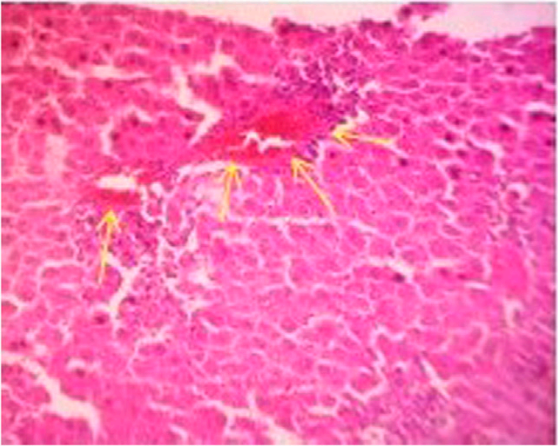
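This liver section shows hepatocytes in irregular plates around a focus of damage. The hepatocytes have pink cytoplasm and round dark nuclei, and many are separated from one another by widened white clefts. Toward the lower part of the field the cells form pink cords with fewer nuclei visible in the plane of section.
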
